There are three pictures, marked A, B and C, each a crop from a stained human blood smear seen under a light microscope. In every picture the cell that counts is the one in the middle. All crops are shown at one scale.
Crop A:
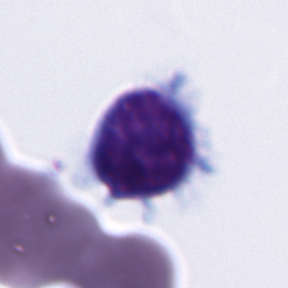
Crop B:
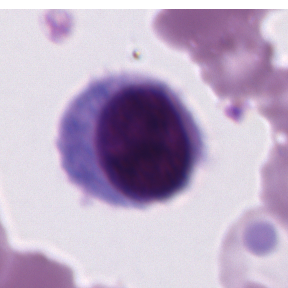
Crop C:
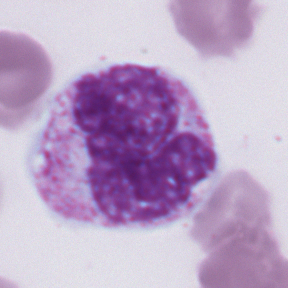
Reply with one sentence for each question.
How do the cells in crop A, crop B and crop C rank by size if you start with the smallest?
From the smallest up, the order is A, B, C.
